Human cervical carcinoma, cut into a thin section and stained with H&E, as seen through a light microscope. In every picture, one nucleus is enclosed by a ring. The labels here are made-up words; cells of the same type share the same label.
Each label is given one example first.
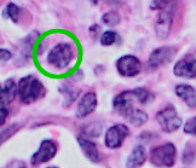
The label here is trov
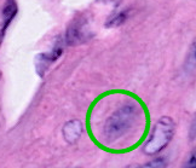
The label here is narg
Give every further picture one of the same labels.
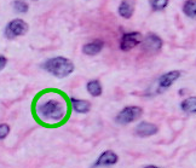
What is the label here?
narg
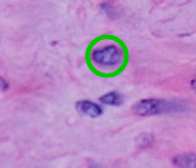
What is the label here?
narg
